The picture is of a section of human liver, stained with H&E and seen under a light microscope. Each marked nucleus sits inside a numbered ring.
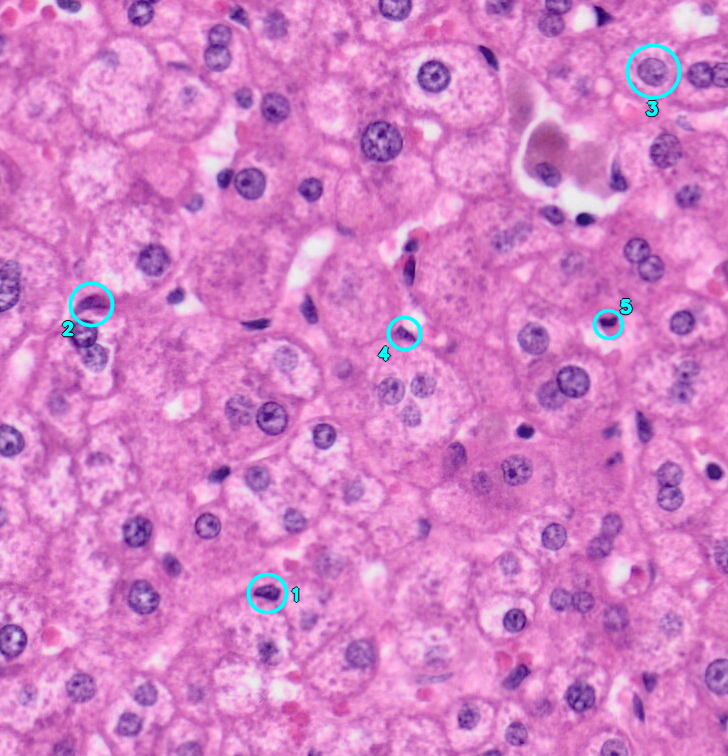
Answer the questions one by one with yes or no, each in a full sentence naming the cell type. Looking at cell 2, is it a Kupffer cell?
Yes, number 2 is assigned to a cell that is a Kupffer cell.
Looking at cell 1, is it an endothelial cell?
No, cell number 1 is identified as a fibroblast or stellate cell, not as an endothelial cell.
